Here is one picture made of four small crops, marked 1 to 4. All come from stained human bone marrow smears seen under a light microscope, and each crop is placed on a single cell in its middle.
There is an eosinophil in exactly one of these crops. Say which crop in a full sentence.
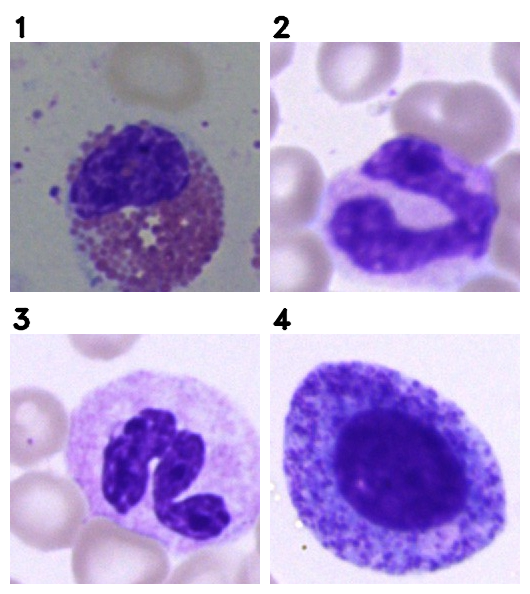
Crop 1 is the crop that shows an eosinophil in its middle.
